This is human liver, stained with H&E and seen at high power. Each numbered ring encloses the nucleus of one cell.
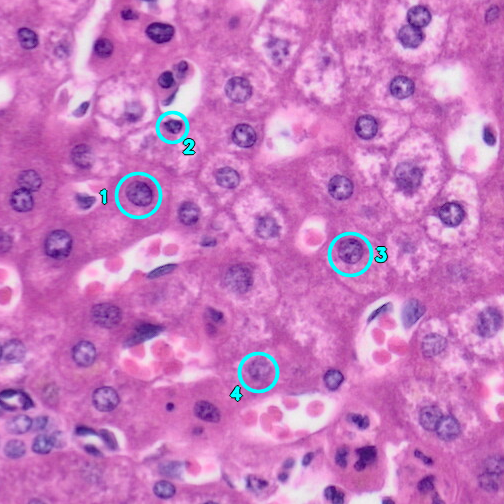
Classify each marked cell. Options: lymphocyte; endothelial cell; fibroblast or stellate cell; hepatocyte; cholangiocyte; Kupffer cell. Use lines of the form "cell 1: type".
cell 1: hepatocyte
cell 2: fibroblast or stellate cell
cell 3: hepatocyte
cell 4: hepatocyte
